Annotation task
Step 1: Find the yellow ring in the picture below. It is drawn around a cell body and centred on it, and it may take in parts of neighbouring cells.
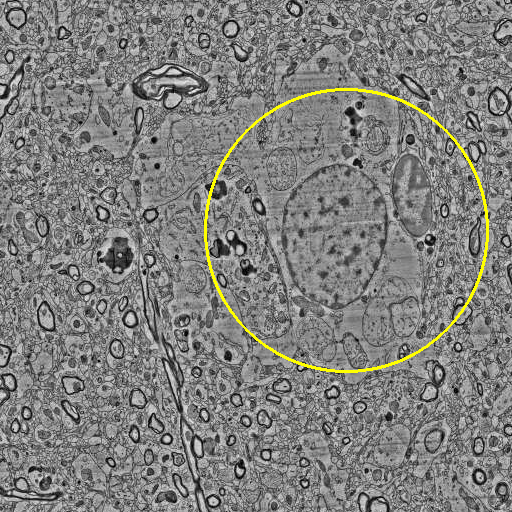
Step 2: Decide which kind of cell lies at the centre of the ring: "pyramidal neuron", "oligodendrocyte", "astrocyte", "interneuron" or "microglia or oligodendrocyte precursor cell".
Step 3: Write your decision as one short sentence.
The kind of cell at the ring's centre is an astrocyte.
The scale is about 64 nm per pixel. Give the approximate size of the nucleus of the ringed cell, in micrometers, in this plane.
Approximately 9 by 7 micrometers in this plane.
